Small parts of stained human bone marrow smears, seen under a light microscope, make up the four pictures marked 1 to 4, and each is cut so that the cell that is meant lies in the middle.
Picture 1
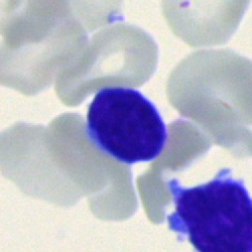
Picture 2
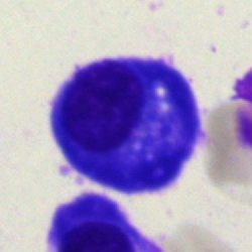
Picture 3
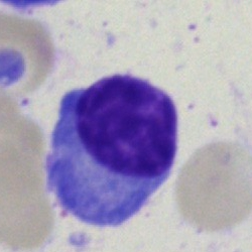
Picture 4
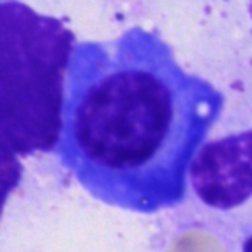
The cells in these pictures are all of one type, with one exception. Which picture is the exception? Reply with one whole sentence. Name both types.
All pictures except 1 show plasma cells; picture 1 shows a lymphocyte.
